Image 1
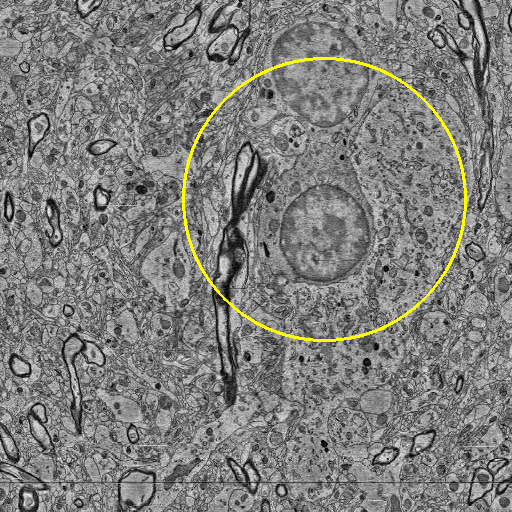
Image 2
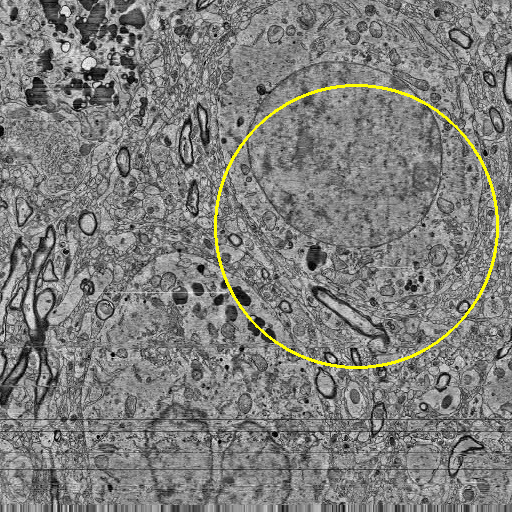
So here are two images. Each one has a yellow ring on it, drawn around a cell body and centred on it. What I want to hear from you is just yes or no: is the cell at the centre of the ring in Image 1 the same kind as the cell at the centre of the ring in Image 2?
no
